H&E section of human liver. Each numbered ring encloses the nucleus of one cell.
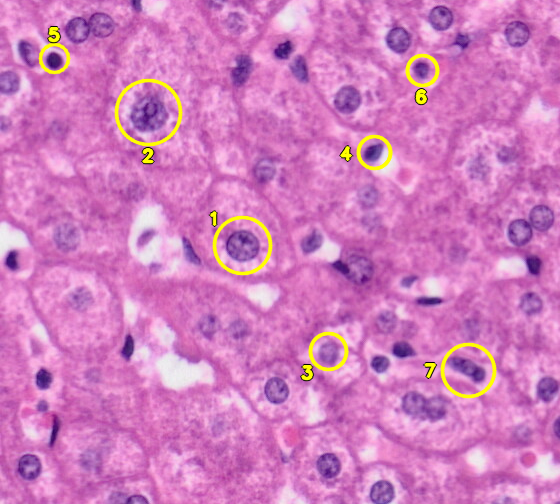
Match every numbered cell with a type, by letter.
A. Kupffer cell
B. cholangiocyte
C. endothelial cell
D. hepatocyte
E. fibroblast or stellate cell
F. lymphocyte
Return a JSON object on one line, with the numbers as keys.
{"1": "D", "2": "D", "3": "D", "4": "E", "5": "F", "6": "F", "7": "A"}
